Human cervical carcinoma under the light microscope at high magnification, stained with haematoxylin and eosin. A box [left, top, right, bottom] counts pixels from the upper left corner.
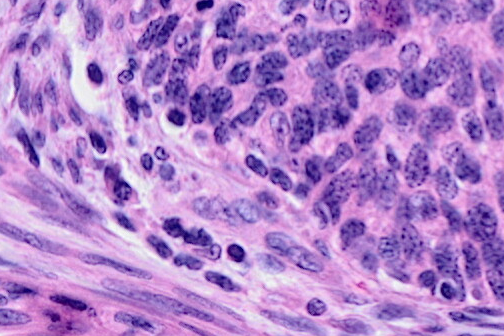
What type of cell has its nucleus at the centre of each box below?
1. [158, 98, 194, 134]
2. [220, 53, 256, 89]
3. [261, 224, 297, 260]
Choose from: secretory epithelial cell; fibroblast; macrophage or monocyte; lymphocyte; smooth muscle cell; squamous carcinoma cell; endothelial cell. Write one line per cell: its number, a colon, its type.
1: lymphocyte
2: squamous carcinoma cell
3: endothelial cell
